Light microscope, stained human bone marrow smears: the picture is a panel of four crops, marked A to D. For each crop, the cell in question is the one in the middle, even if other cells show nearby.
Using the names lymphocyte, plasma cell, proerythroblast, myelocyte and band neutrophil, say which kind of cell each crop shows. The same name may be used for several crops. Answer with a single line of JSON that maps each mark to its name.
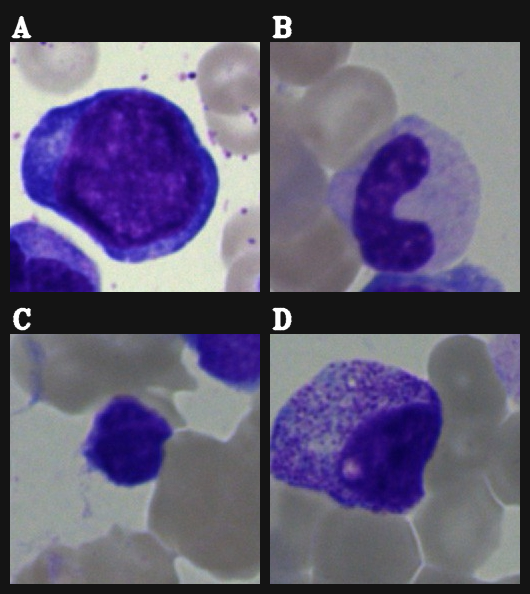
{"A": "proerythroblast", "B": "band neutrophil", "C": "lymphocyte", "D": "myelocyte"}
